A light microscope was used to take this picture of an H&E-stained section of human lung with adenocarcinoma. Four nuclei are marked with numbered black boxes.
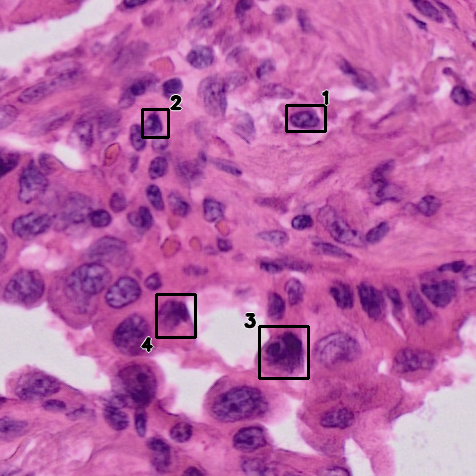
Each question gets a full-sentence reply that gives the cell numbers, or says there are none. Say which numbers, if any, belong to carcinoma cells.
The cells to which the numbers 3 and 4 refer are carcinoma cells.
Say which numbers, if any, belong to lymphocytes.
Among the cells marked with numbers, the only one that is a lymphocyte is number 2.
